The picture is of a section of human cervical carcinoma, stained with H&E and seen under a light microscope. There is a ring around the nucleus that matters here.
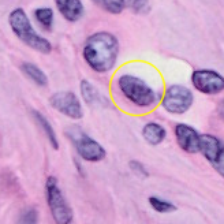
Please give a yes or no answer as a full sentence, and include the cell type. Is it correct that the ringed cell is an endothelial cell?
Yes, identifying the ringed cell as an endothelial cell is right.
